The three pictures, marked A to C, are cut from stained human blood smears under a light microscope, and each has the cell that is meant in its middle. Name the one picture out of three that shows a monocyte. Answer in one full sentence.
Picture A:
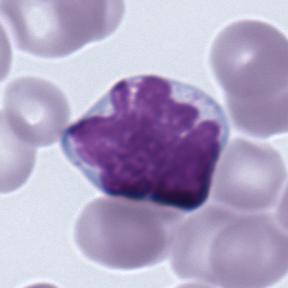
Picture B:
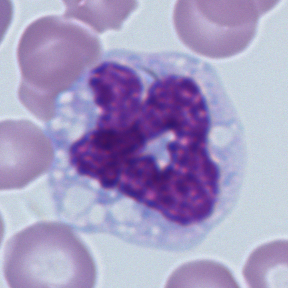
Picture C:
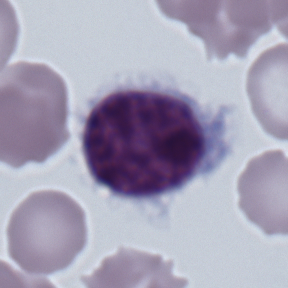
It is picture B that shows the monocyte.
